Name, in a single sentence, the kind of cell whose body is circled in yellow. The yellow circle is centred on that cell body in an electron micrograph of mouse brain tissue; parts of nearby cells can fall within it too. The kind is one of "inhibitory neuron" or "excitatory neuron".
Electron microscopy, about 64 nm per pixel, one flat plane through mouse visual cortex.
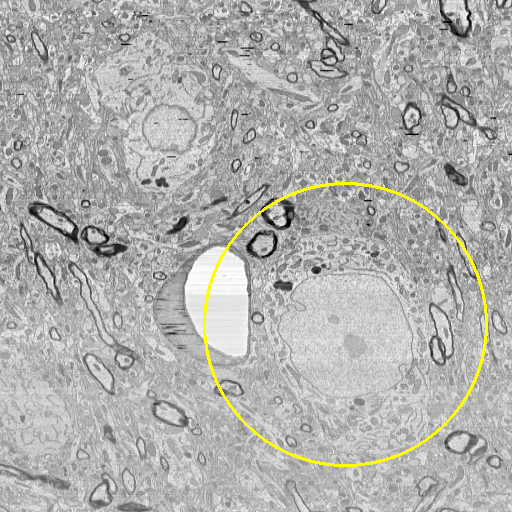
The circled cell body belongs to an inhibitory neuron.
